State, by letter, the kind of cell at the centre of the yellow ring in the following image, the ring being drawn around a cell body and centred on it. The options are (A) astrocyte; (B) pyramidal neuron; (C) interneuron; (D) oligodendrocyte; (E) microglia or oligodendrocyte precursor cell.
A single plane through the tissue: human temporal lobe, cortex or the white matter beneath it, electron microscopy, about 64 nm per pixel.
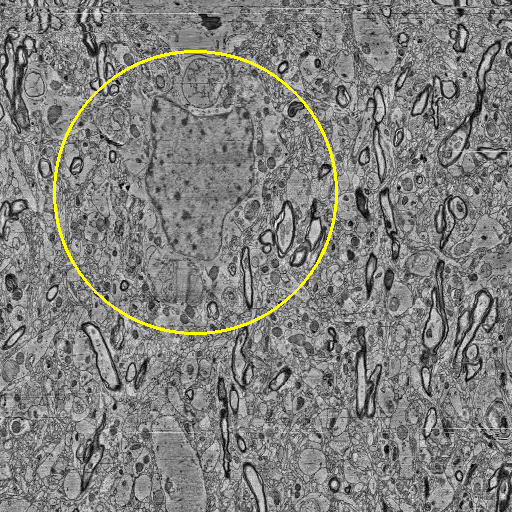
A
